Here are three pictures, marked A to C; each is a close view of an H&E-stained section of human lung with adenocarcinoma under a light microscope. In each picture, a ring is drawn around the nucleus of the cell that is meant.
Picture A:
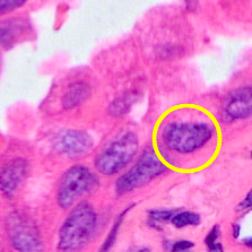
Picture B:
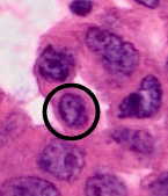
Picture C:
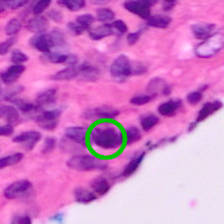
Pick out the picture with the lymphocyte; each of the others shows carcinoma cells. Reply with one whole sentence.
The cell in picture C is the lymphocyte.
